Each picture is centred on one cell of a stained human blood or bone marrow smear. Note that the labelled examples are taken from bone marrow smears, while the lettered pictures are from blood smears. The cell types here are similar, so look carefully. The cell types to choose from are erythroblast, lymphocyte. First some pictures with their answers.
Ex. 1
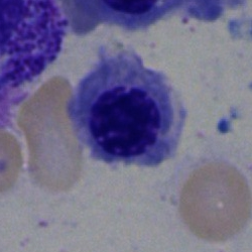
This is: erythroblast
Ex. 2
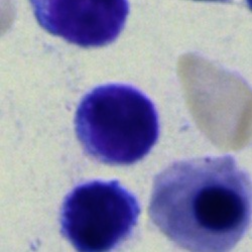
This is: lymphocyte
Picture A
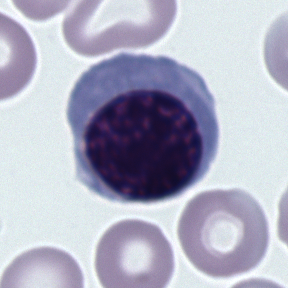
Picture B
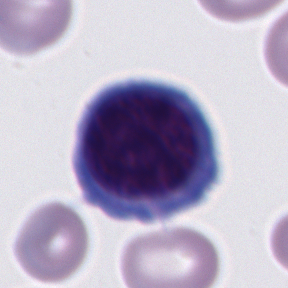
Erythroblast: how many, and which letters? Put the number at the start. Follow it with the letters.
Count: 2 (A, B)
